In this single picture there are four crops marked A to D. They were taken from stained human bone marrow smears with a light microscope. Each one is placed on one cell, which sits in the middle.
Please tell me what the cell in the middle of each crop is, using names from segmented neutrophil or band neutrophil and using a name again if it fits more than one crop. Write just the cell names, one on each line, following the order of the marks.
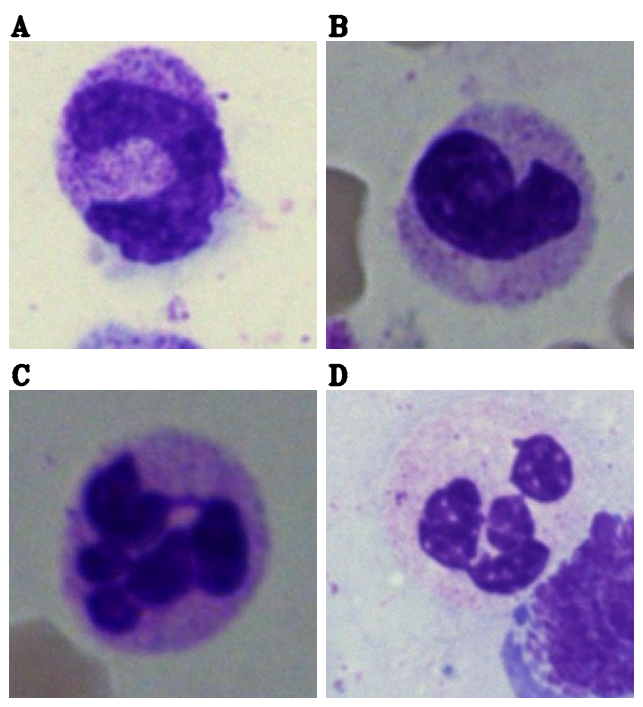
band neutrophil
band neutrophil
segmented neutrophil
segmented neutrophil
